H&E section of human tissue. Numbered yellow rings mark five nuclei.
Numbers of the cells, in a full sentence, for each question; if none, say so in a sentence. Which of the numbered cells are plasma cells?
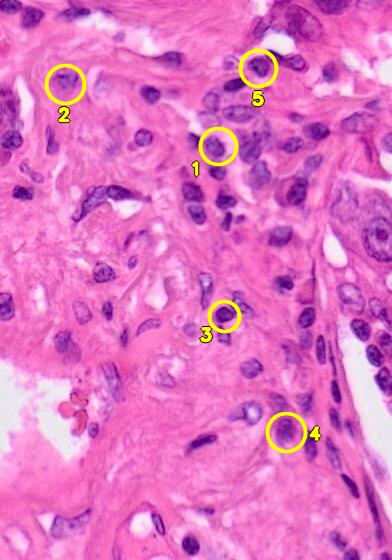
Just one numbered cell is a plasma cell, and that cell is number 4.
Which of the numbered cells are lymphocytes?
The identity of cells 1, 3 and 5: they are lymphocytes.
